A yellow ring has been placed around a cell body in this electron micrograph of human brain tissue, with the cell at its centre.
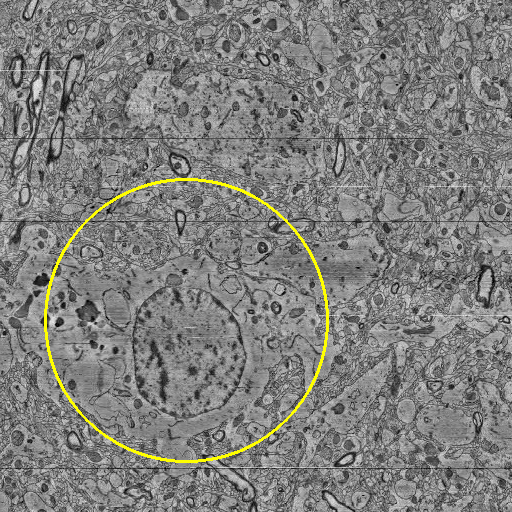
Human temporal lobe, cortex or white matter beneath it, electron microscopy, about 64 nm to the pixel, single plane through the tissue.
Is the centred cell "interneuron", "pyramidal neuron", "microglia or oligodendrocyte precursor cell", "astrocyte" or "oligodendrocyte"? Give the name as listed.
astrocyte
